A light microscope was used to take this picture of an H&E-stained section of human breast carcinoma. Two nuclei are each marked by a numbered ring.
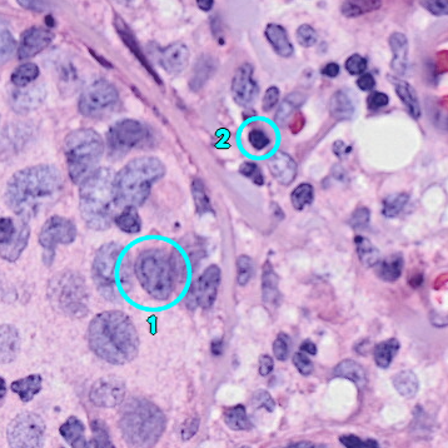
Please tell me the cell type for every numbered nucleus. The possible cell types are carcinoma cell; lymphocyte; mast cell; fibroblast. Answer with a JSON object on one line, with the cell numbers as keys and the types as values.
{"1": "carcinoma cell", "2": "lymphocyte"}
